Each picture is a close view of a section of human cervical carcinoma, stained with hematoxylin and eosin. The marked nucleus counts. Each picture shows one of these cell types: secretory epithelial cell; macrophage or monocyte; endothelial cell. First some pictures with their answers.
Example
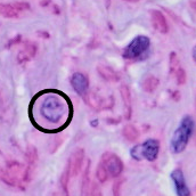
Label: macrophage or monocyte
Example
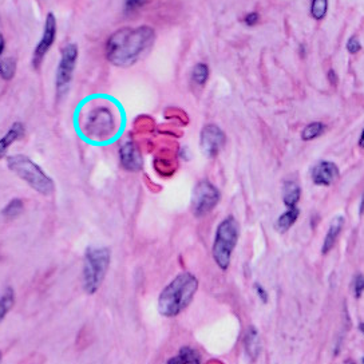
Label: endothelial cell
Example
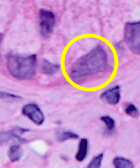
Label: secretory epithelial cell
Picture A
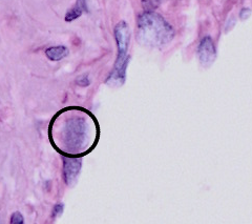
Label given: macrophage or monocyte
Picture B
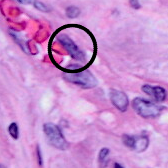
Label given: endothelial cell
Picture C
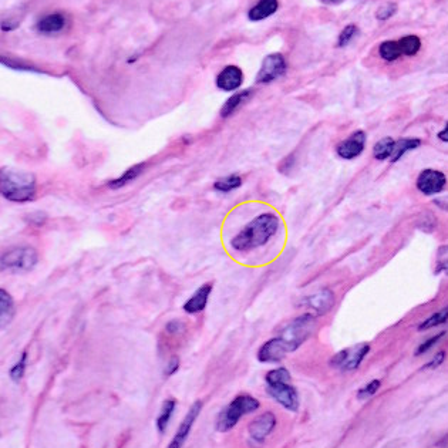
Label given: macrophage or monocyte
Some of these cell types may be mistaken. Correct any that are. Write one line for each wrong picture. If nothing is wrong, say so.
A: change macrophage or monocyte to endothelial cell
